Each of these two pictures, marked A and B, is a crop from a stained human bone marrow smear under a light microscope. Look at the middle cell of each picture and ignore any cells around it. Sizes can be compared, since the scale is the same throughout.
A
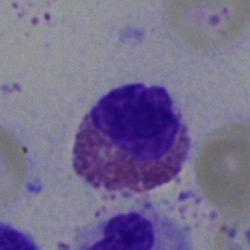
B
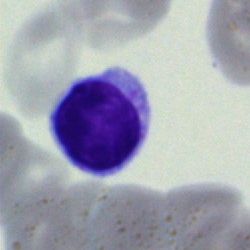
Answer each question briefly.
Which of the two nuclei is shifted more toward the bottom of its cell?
B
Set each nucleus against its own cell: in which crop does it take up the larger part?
B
